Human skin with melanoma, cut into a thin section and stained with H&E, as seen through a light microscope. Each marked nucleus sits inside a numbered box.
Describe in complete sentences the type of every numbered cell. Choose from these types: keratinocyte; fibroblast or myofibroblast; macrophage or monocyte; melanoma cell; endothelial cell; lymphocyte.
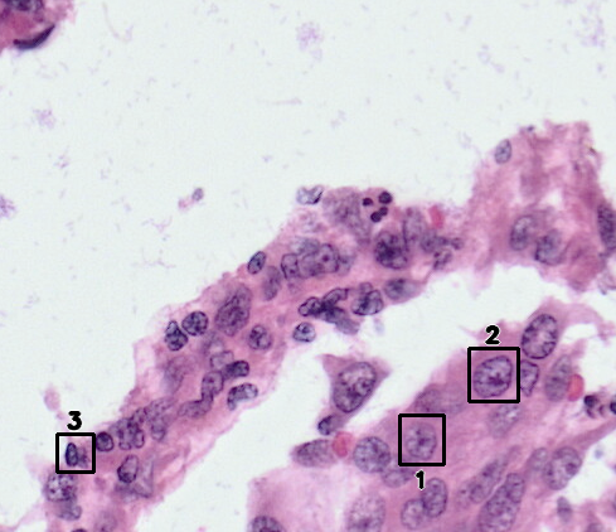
Cell 1 is a melanoma cell, cell 2 is a melanoma cell and cell 3 is a lymphocyte.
